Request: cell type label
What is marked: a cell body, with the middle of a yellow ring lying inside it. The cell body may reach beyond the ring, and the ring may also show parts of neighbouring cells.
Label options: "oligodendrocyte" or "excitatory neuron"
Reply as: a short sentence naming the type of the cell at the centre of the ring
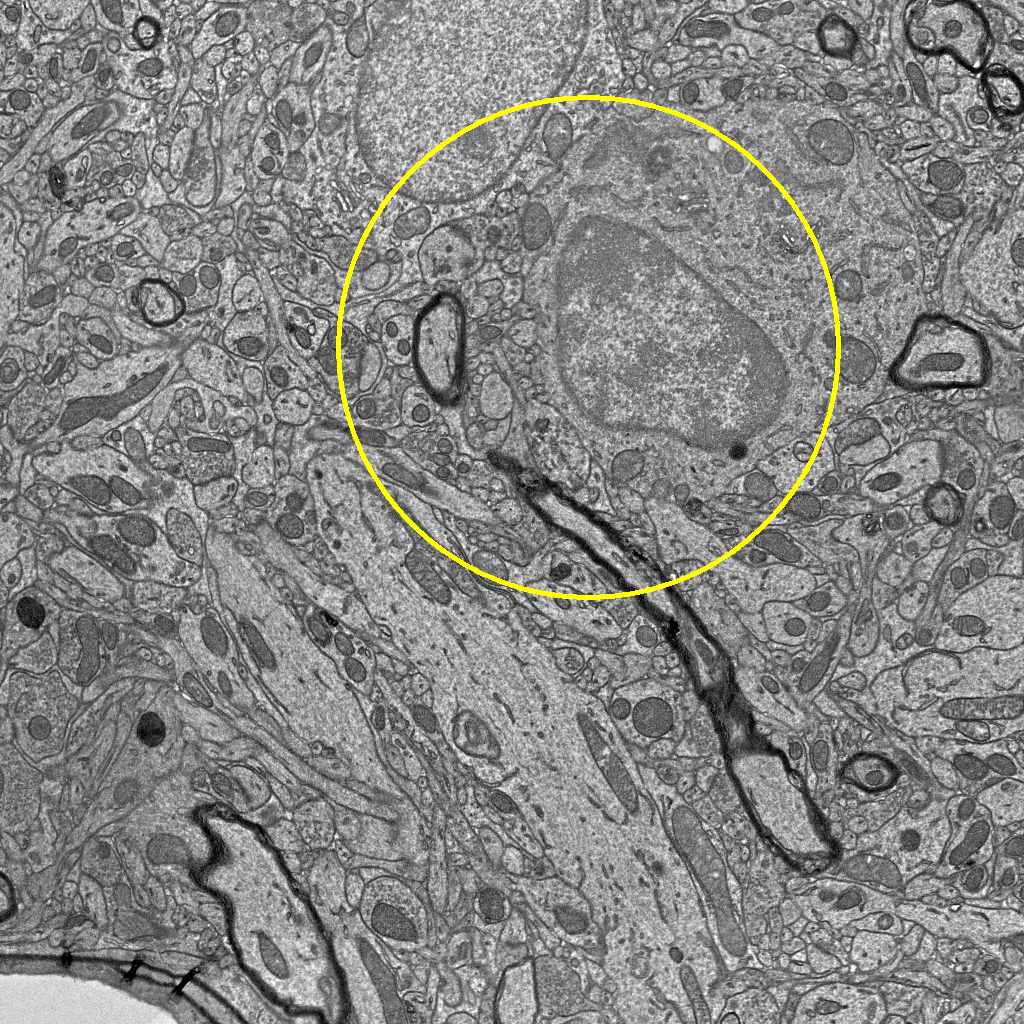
The marked cell body is that of an oligodendrocyte.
